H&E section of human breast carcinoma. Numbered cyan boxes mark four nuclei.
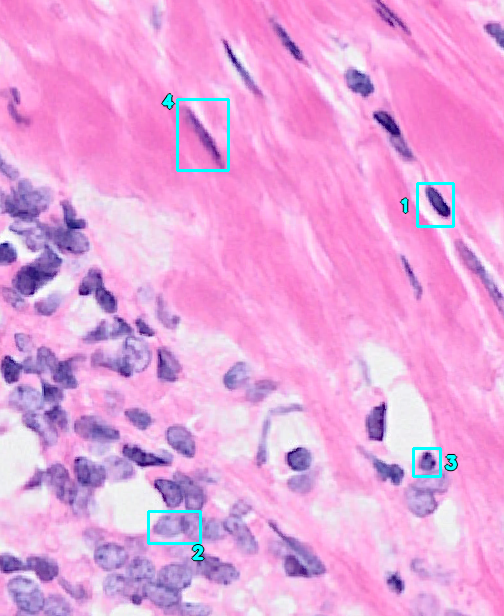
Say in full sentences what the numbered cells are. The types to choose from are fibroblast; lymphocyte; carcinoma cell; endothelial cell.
Cells 1 and 3 are lymphocytes. Cell 2 is a carcinoma cell. Cell 4 is a fibroblast.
